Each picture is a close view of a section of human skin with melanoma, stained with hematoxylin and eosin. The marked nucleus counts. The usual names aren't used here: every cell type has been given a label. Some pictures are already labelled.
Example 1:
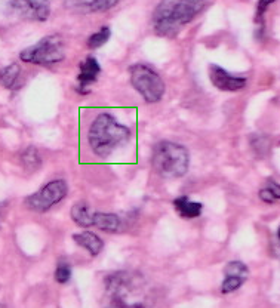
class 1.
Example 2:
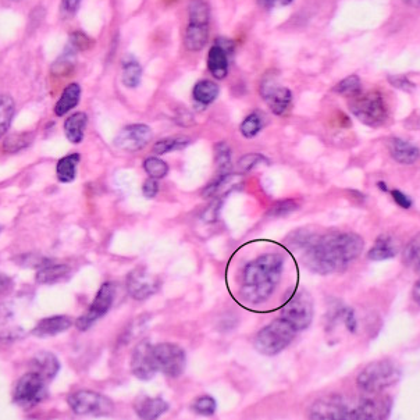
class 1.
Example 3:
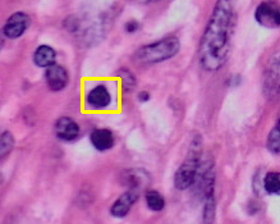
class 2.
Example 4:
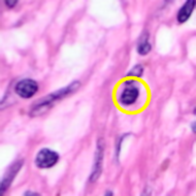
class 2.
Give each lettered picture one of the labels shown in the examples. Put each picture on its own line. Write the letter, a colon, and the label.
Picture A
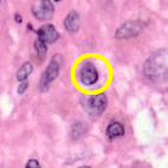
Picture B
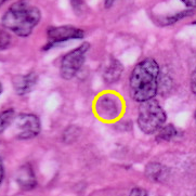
A: class 2.
B: class 1.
